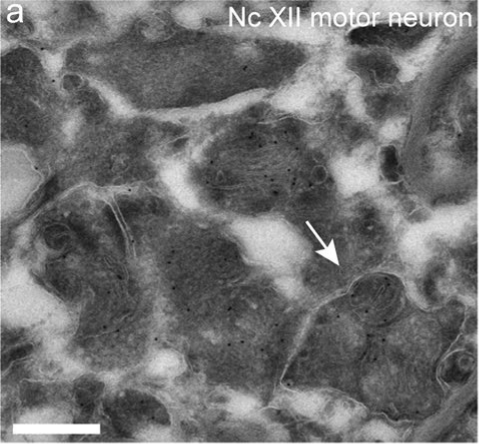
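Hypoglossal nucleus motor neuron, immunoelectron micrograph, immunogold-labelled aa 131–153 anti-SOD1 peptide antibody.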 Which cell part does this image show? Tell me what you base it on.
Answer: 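Several oval organelles with disorganised, whorled internal membranes. Fine black gold particles scattered over these organelles.
Answer: Degenerated mitochondria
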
